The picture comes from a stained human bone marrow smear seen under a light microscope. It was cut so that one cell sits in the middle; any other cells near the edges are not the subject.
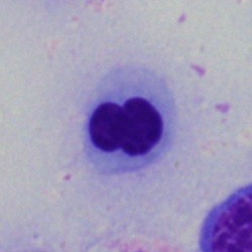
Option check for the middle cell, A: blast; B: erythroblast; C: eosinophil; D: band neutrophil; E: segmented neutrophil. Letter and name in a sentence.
The correct option, B, names the middle cell as an erythroblast.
